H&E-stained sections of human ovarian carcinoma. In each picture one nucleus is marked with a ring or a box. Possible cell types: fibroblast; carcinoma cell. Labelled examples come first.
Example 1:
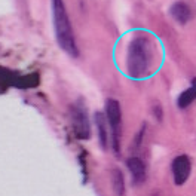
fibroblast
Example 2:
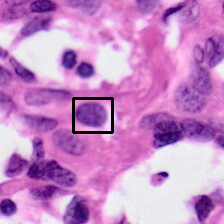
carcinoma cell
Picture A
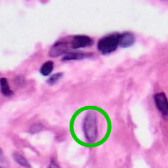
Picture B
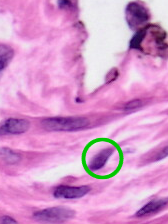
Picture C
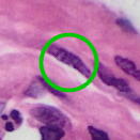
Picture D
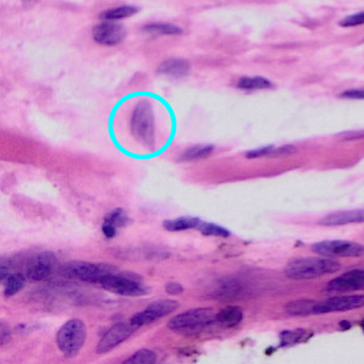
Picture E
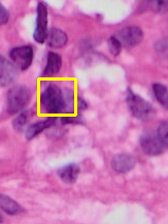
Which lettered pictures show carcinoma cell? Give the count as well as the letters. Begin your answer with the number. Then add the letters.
Count: 1 (E)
